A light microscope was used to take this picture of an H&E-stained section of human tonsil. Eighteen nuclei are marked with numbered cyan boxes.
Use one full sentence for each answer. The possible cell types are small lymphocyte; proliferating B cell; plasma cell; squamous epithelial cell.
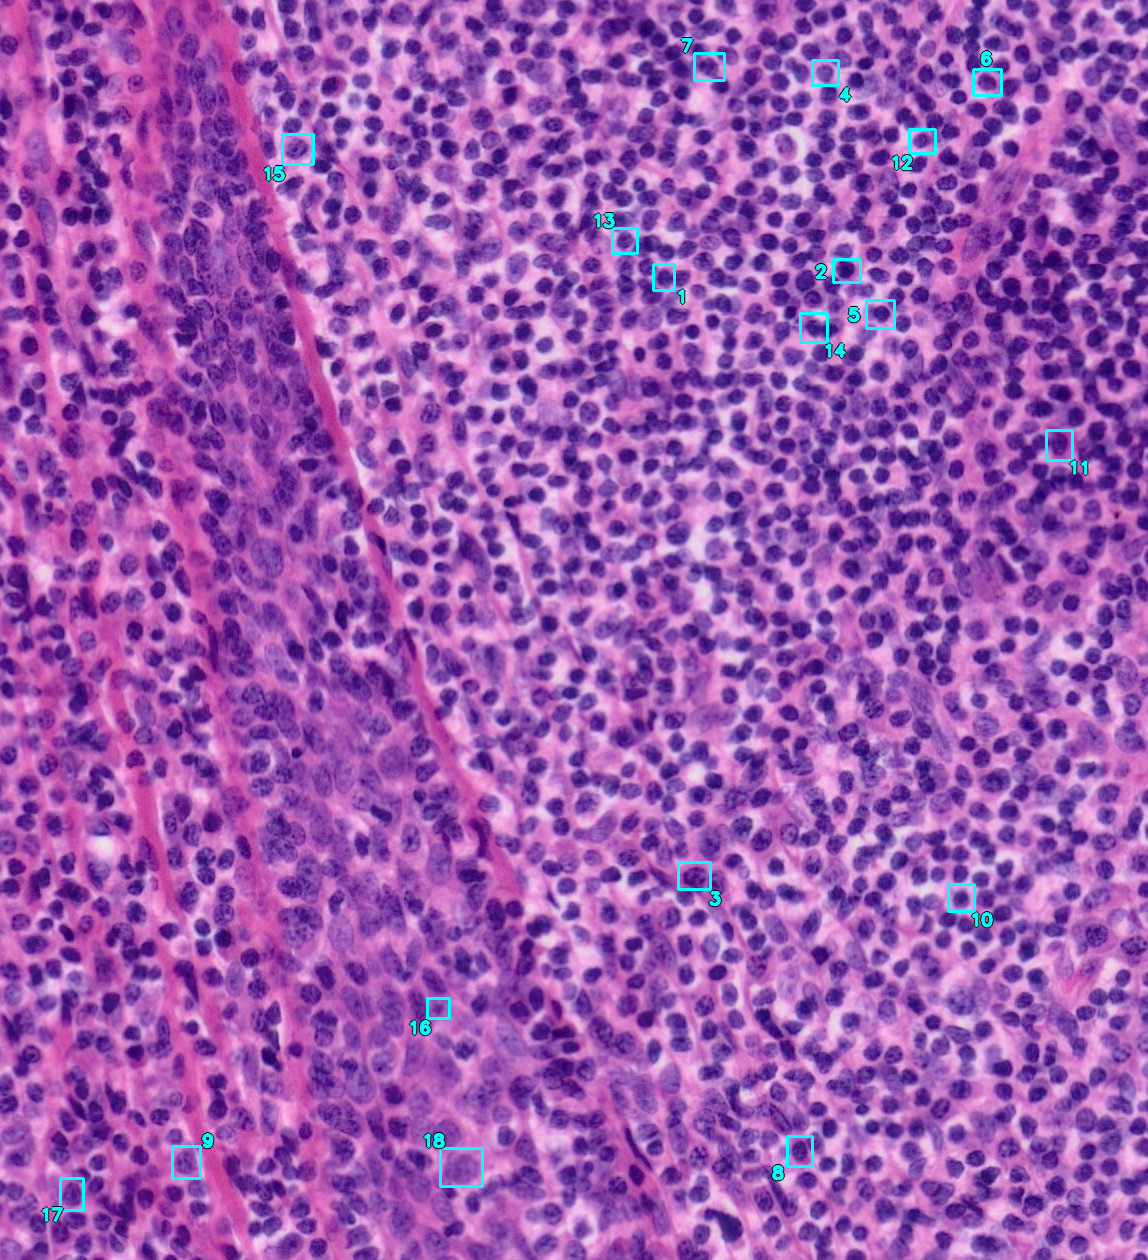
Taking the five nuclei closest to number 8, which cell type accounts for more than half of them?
Small lymphocytes make up most of the five nuclei closest to number 8.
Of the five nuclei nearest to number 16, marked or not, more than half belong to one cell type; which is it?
Around number 16, most of the five nearest nuclei are those of squamous epithelial cells.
